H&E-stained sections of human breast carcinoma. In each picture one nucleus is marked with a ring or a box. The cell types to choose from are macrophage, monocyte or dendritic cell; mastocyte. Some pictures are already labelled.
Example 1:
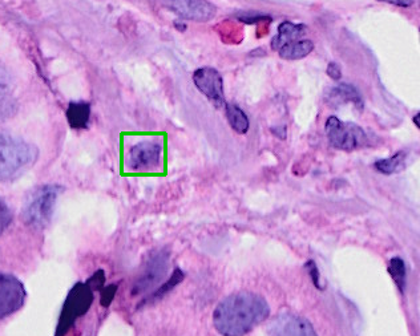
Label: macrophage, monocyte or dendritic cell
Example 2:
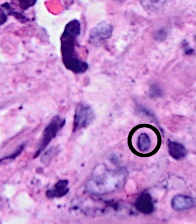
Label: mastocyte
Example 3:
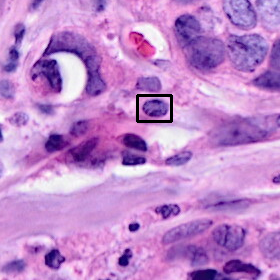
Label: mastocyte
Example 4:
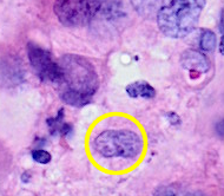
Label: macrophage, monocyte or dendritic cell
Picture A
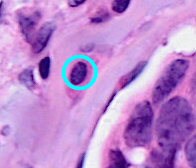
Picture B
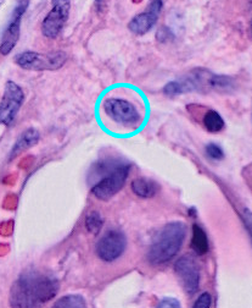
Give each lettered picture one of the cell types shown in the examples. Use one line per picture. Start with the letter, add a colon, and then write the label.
A: mastocyte
B: mastocyte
